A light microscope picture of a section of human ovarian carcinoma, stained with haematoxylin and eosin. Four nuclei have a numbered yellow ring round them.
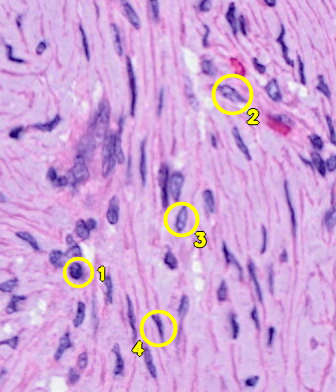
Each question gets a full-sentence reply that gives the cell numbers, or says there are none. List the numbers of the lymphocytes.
Only one choice fits: cell 1 is a lymphocyte, and no other.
